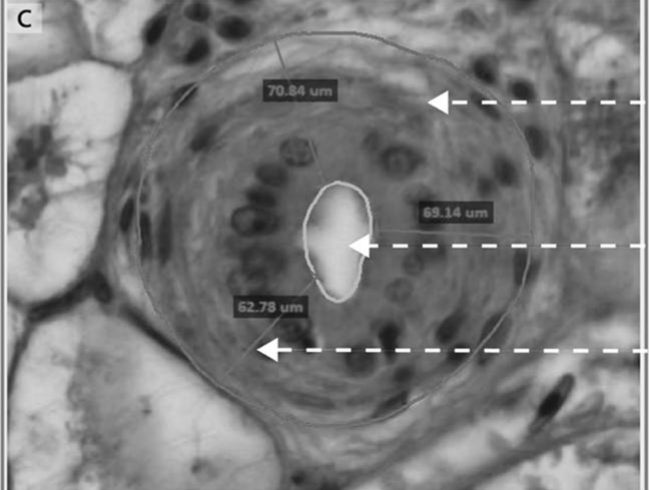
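This shows a bile duct cut in cross section within the liver. A small, empty oval lumen lies in the centre and is lined by a ring of epithelial cells whose dark oval nuclei form a circle around it. Outside the epithelium a thick, concentrically layered wall of fibrous tissue with scattered elongated nuclei surrounds the duct. Large pale hepatocytes border the duct at the edges of the field.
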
